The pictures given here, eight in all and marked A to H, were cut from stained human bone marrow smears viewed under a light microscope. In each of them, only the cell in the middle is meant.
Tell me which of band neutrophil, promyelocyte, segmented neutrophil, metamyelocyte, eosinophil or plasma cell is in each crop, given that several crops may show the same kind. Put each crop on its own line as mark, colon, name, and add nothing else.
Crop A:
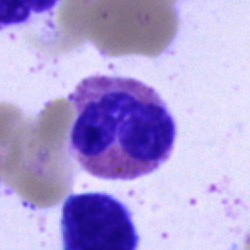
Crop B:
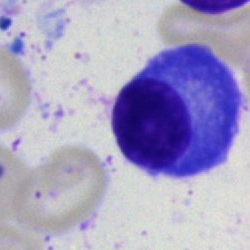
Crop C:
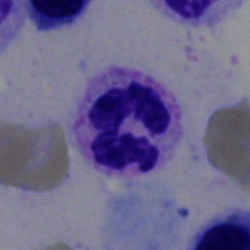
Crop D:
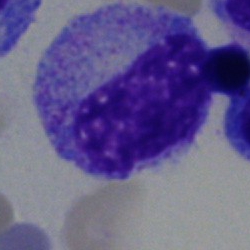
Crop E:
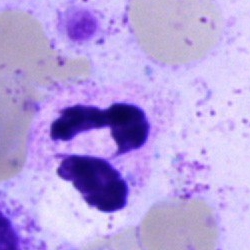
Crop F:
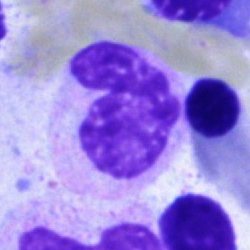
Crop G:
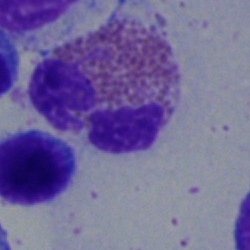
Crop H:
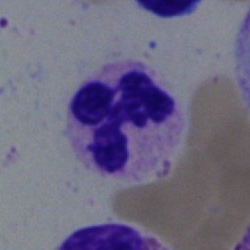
A: eosinophil
B: plasma cell
C: segmented neutrophil
D: metamyelocyte
E: segmented neutrophil
F: metamyelocyte
G: eosinophil
H: segmented neutrophil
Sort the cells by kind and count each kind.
segmented neutrophil: 3
eosinophil: 2
metamyelocyte: 2
plasma cell: 1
